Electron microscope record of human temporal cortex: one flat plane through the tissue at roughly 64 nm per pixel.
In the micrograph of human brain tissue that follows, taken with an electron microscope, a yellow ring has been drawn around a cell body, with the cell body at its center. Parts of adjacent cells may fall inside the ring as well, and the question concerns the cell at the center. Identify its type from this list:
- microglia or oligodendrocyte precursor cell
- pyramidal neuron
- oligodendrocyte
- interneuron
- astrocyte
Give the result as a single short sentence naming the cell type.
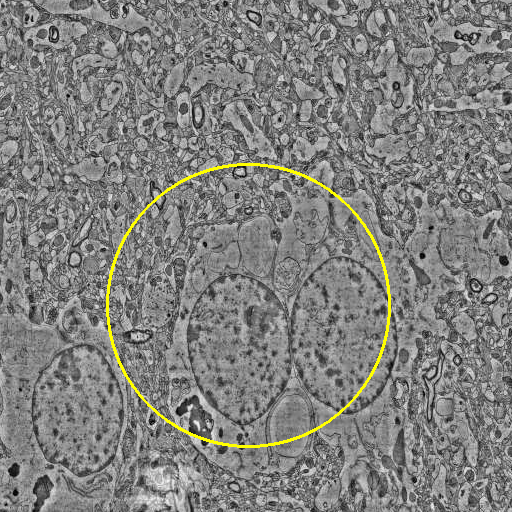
The ring is centered on an astrocyte.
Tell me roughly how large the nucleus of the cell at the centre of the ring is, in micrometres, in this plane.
About 10 by 7 micrometers, in this plane.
